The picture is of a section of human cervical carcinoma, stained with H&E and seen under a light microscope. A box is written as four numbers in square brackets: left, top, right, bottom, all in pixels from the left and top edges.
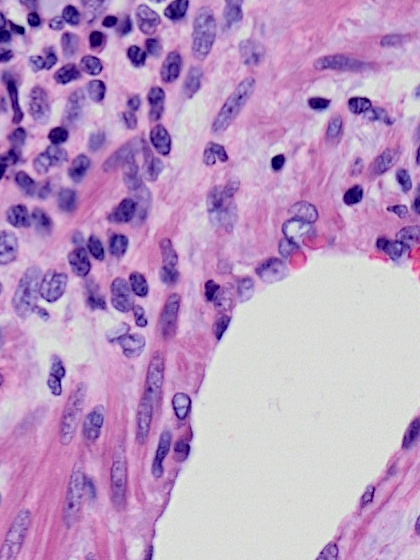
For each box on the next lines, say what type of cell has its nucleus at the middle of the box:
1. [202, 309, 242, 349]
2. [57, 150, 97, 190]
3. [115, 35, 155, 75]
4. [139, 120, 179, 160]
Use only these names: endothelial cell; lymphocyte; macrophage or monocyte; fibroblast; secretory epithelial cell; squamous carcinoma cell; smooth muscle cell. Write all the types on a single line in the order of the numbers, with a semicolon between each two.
endothelial cell; lymphocyte; lymphocyte; lymphocyte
